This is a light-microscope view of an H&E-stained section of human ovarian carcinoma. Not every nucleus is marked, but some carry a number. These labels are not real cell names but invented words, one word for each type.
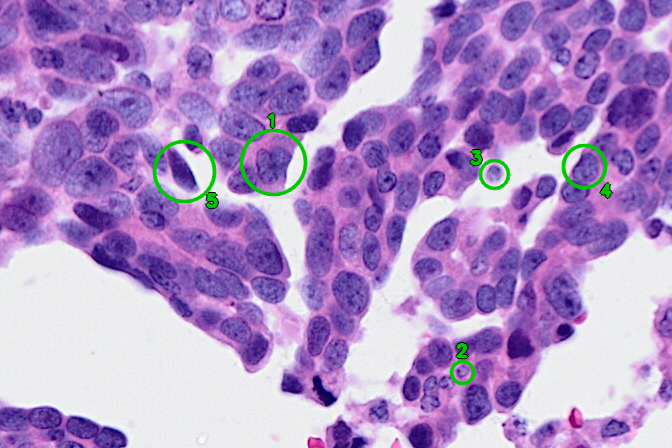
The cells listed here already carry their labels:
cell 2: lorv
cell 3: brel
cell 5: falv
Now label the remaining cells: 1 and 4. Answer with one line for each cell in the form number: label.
1: falv
4: falv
